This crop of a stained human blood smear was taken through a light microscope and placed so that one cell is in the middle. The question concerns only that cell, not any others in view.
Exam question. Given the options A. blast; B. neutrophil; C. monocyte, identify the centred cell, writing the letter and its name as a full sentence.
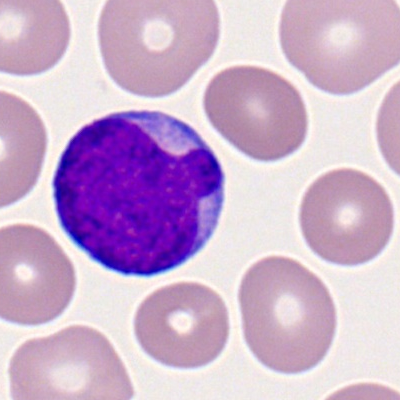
Of the choices given, option A is right, as the central cell is a blast.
